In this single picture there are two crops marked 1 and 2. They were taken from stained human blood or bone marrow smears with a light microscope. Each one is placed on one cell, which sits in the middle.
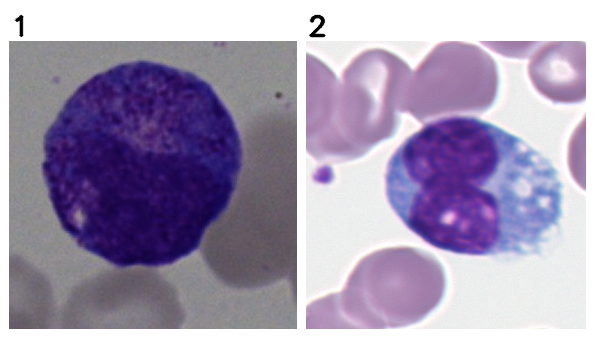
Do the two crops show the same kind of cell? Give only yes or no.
no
